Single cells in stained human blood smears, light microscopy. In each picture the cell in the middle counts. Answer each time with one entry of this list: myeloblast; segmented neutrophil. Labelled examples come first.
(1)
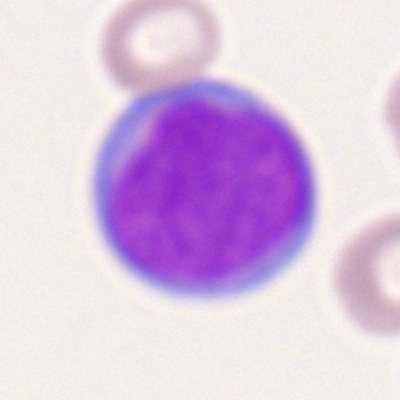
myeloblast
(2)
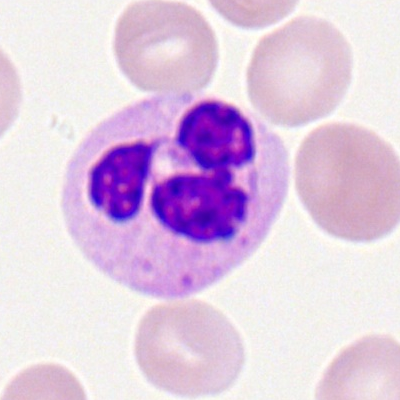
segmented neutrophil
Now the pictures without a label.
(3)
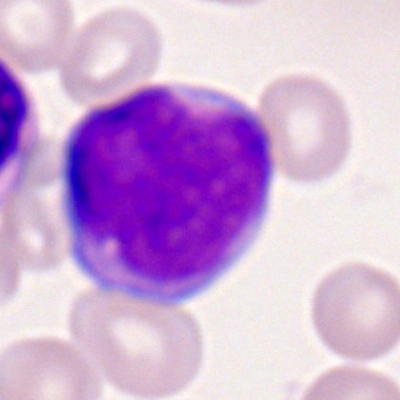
myeloblast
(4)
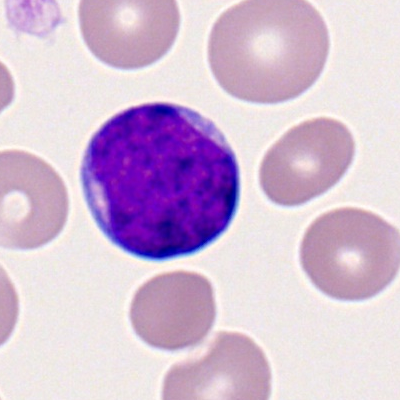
myeloblast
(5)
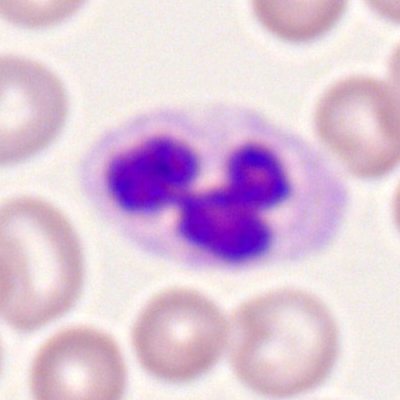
segmented neutrophil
